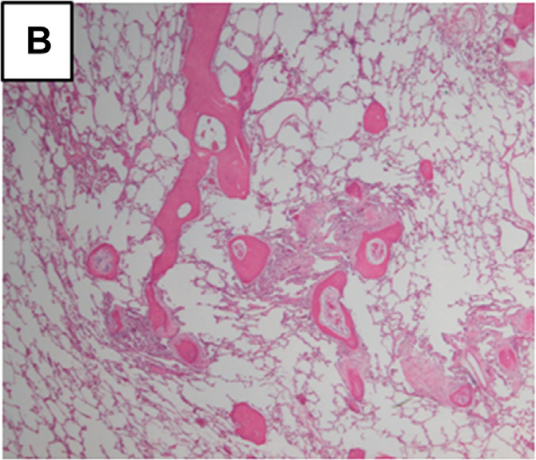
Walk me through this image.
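This is lung tissue at low power with bone formed inside the alveolar spaces. Dense, homogeneous pink bony bars, one long and branching and others rounded or oval, some with central clear spaces, lie among thin-walled, open alveoli. Around some of the bony pieces the alveolar walls are thicker and more fibrous.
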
